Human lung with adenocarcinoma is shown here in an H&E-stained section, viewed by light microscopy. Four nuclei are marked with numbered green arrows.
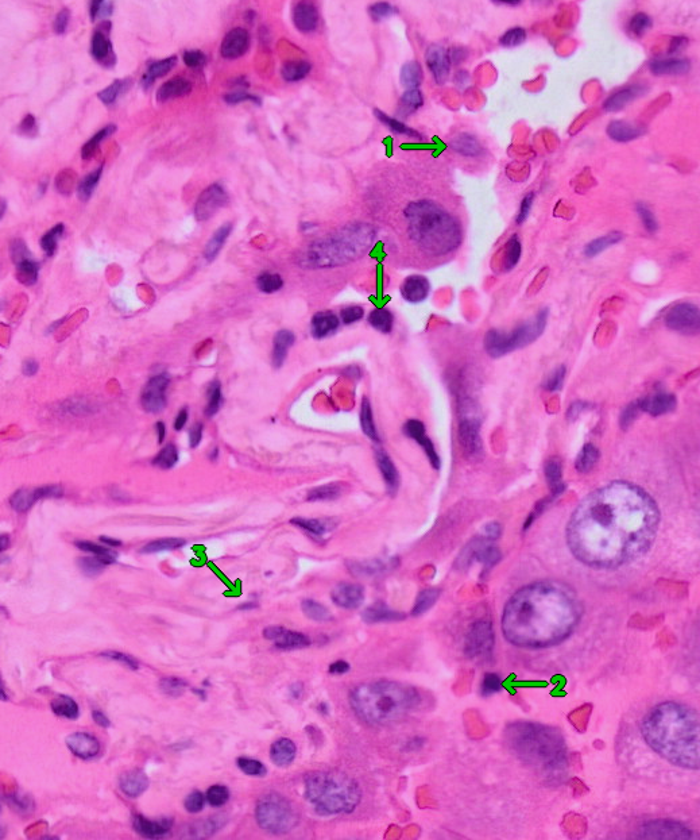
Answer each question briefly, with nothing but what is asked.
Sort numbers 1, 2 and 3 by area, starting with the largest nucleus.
1, 2, 3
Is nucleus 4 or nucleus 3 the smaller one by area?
3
